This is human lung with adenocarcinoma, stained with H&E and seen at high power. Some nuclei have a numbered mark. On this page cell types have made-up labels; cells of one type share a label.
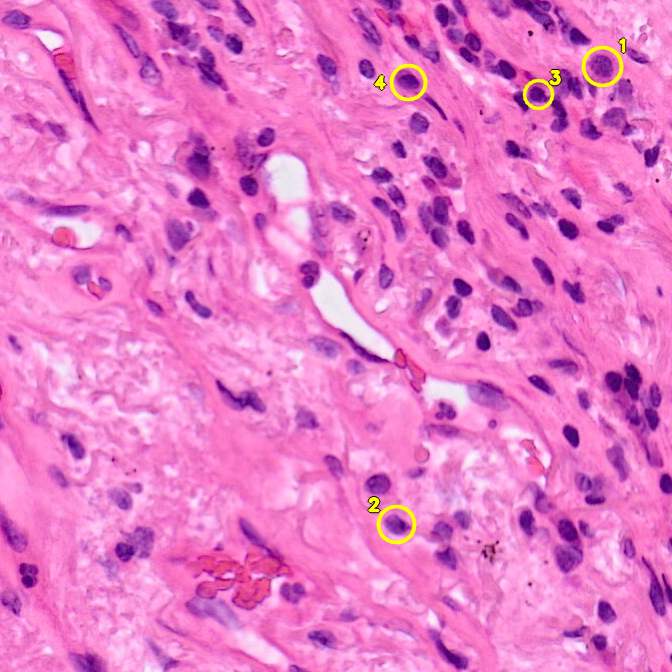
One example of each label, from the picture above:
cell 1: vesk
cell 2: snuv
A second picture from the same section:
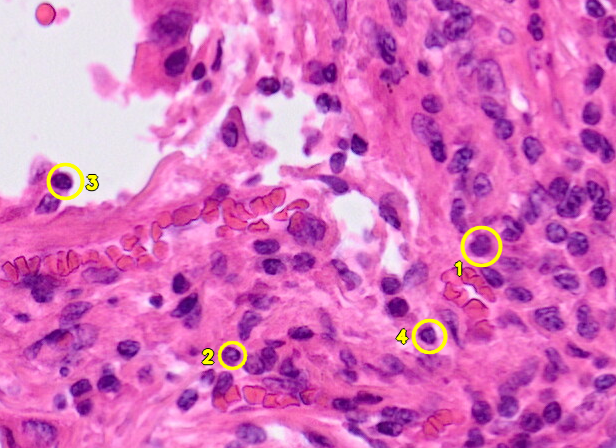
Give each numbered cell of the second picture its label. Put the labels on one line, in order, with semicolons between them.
vesk; snuv; snuv; snuv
